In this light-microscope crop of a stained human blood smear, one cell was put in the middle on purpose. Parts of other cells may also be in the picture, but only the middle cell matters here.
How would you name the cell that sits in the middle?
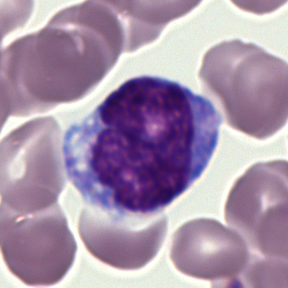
monocyte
